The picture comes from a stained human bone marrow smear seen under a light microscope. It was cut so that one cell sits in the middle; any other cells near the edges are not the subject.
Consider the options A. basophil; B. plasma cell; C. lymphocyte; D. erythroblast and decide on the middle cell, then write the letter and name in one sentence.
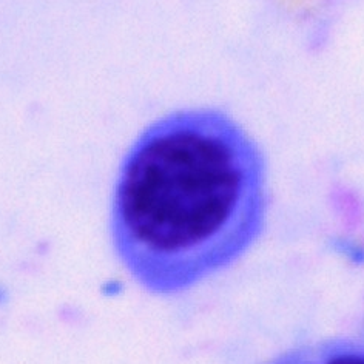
The cell in the center of this crop is an erythroblast, so option D is the one to pick.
